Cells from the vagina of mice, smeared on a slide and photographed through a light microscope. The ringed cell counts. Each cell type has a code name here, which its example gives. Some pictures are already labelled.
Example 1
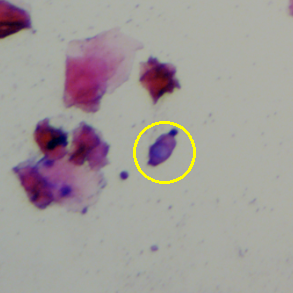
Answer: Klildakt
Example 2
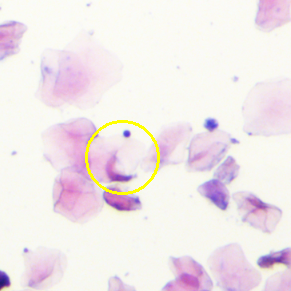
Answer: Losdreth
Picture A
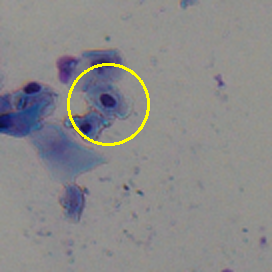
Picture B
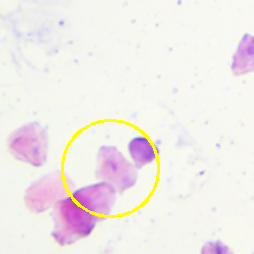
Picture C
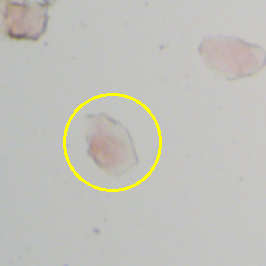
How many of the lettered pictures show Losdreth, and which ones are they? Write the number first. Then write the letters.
Count: 2 (B, C)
